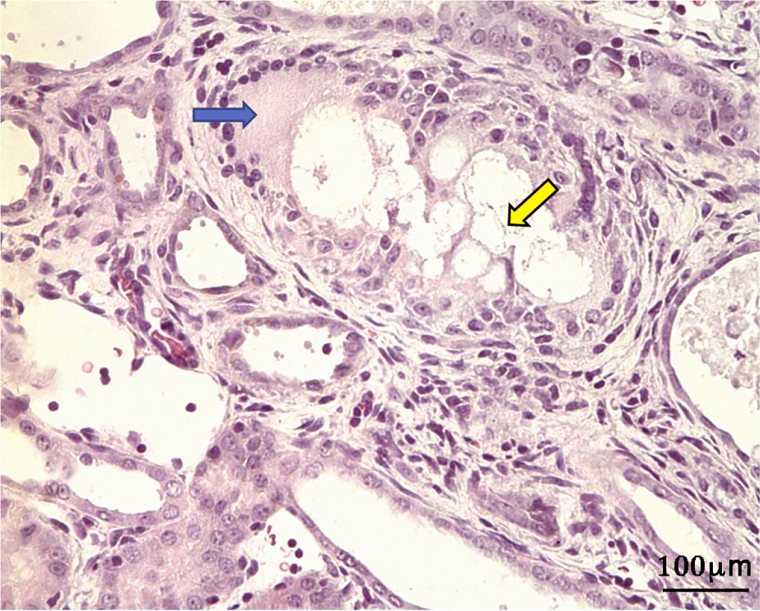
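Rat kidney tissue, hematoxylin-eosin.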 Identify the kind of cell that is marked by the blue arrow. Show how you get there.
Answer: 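Multinucleated giant cells. The arrow points to a large zone of pale pink cytoplasm at the edge of the clear spaces. Several nuclei lie within or along this broad cytoplasmic area.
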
